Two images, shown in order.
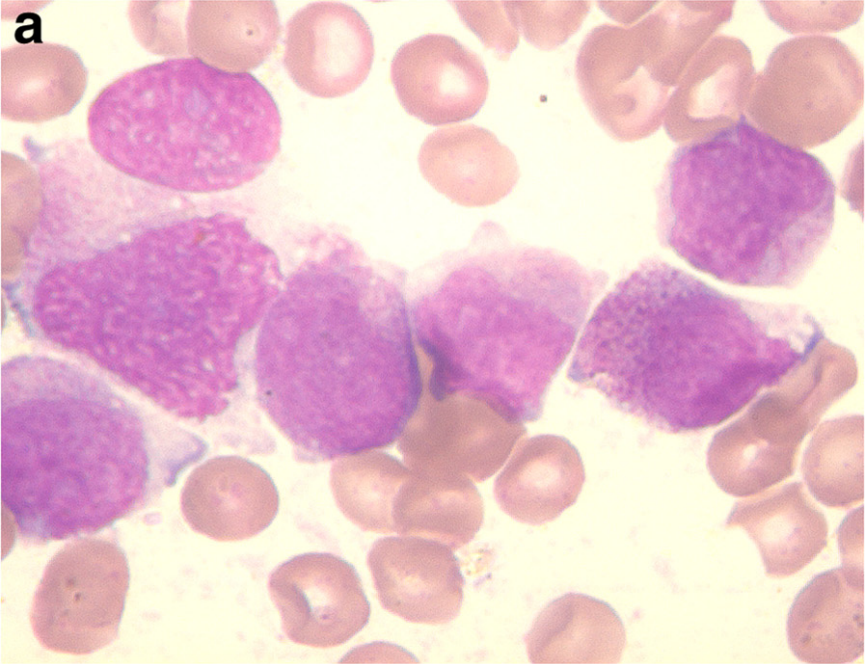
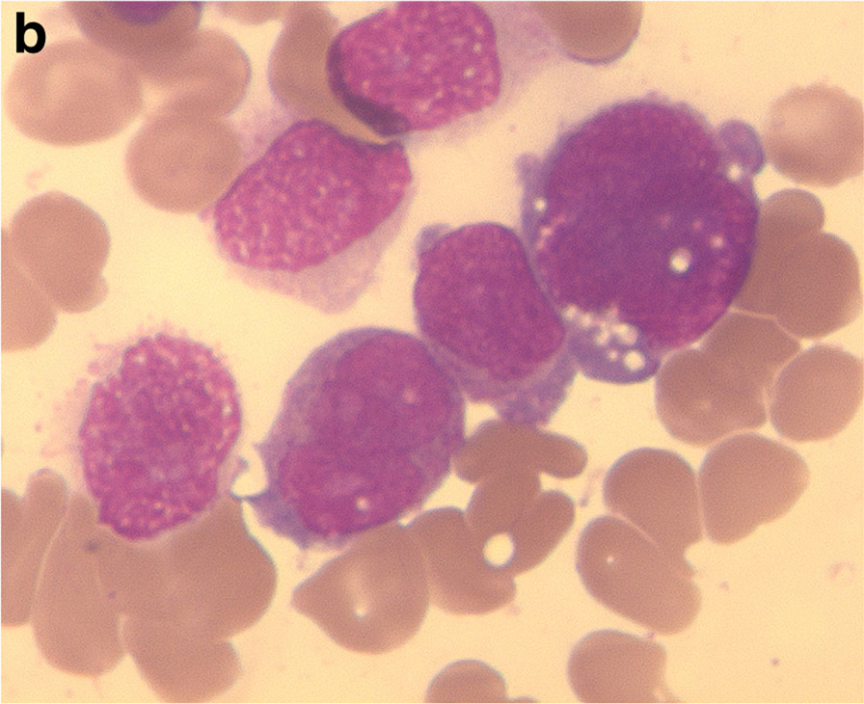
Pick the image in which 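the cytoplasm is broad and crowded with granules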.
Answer: The first image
